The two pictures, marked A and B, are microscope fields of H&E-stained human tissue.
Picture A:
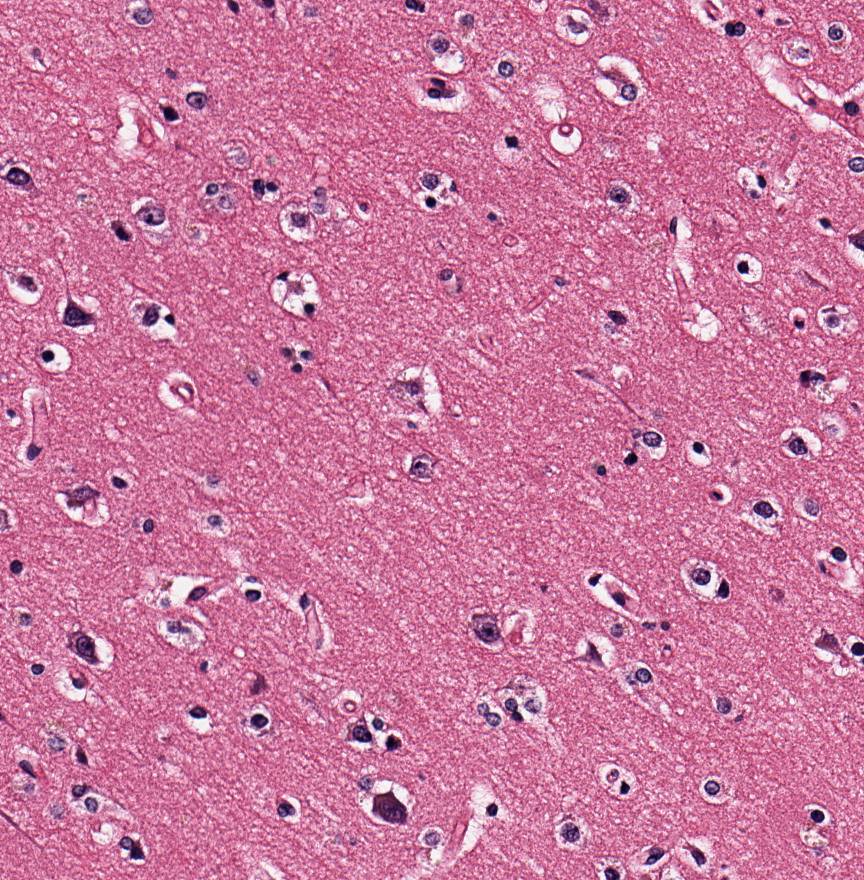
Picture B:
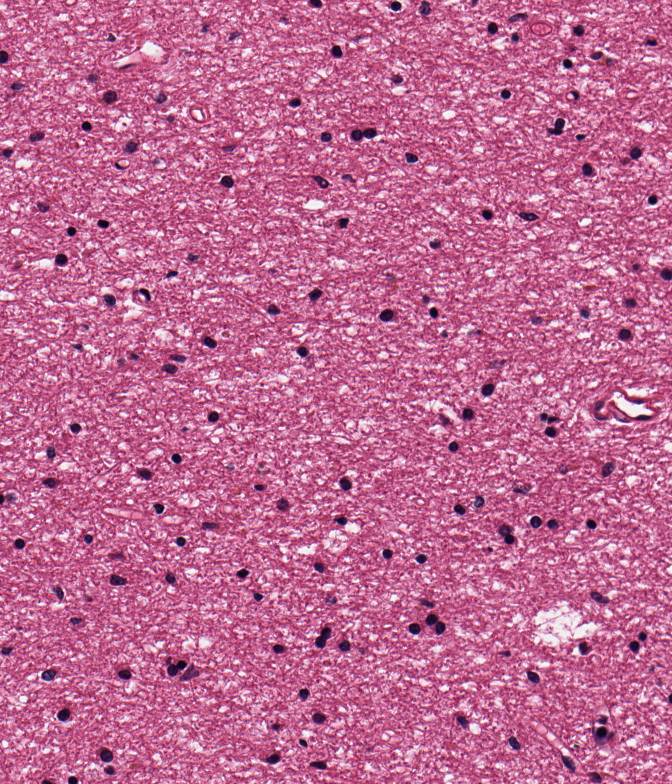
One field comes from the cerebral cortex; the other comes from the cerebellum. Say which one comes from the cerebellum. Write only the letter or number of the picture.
B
